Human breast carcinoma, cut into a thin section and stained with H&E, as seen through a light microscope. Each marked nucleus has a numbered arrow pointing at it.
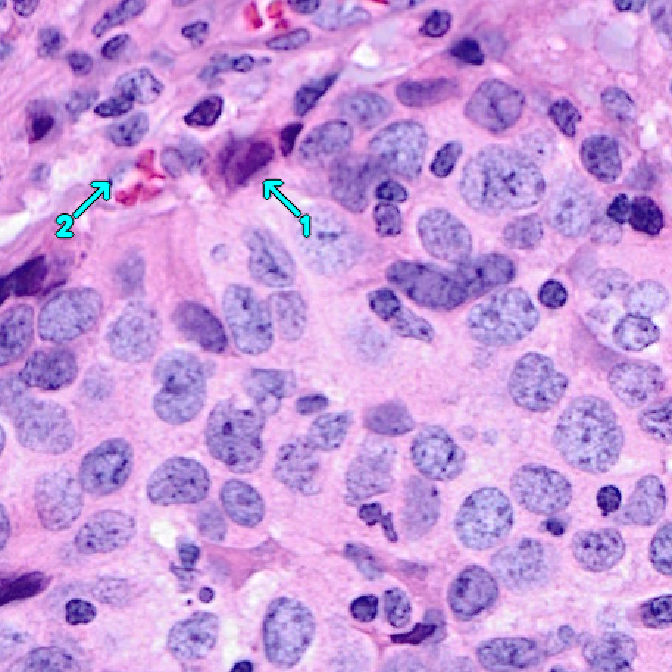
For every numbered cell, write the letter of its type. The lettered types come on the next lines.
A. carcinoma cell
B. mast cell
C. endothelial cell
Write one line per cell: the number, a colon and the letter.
1: A
2: C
